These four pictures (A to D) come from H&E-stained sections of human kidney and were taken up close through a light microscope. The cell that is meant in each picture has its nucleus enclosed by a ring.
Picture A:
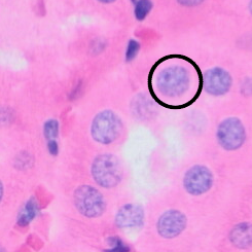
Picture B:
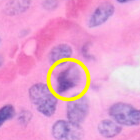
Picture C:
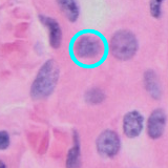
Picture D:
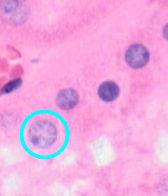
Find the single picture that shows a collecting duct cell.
B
